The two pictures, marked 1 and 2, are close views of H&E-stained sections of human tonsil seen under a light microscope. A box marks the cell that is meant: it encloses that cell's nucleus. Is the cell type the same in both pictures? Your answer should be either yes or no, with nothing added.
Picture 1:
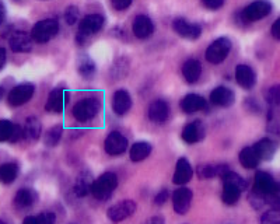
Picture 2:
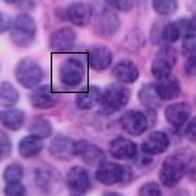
no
